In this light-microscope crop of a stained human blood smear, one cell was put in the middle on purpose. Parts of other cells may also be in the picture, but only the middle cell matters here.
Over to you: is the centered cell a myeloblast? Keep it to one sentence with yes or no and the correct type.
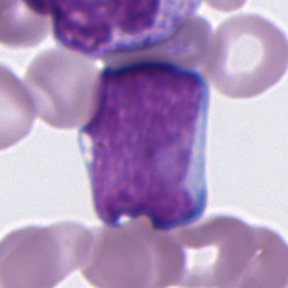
Yes, the cell at the centre of the field is a myeloblast.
